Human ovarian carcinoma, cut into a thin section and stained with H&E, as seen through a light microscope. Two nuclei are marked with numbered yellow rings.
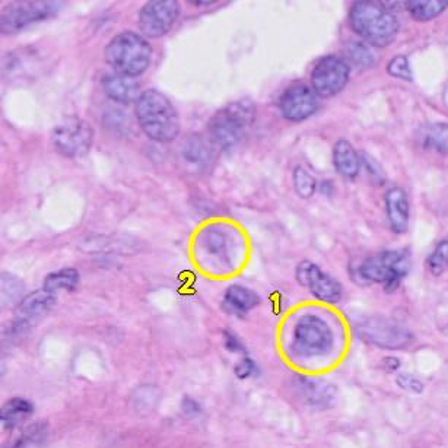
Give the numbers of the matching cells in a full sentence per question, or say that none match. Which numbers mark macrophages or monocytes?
Cell 1 alone, of all the numbered cells, is a macrophage or monocyte.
